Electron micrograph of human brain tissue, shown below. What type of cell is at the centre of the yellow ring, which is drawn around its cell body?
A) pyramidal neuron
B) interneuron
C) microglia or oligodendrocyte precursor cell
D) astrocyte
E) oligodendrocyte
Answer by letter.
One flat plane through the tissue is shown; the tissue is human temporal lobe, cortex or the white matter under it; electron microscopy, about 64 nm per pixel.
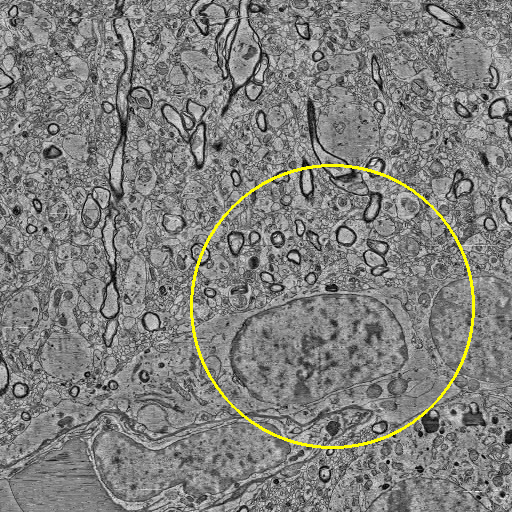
C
